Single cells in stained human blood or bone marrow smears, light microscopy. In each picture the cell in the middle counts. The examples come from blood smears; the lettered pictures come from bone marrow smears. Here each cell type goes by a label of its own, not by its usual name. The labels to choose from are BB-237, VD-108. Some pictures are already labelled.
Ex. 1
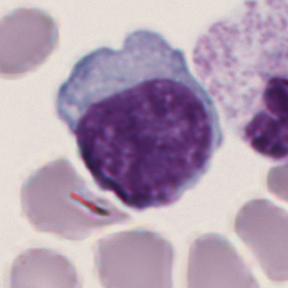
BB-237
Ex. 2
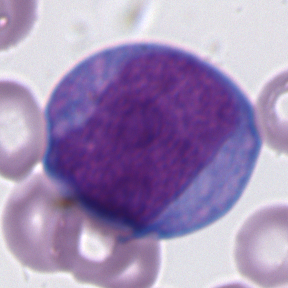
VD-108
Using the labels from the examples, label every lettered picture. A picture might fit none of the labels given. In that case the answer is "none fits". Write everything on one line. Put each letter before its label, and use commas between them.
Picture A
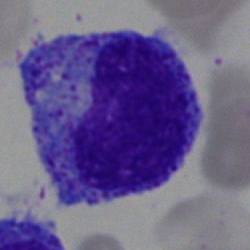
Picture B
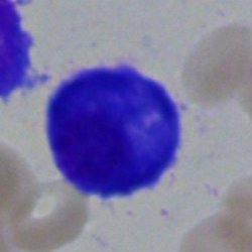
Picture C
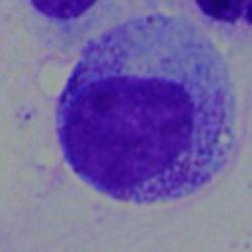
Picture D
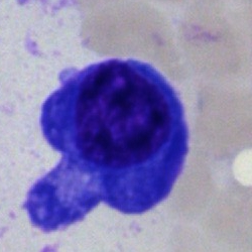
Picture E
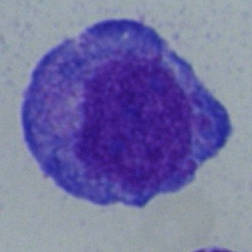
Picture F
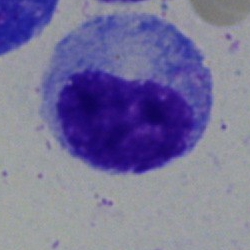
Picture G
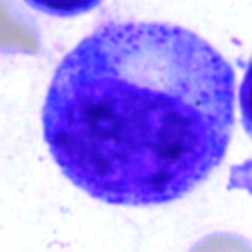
A VD-108, B BB-237, C none fits, D BB-237, E VD-108, F none fits, G VD-108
